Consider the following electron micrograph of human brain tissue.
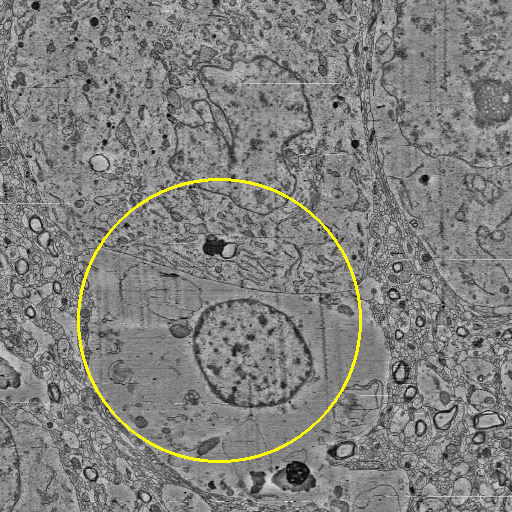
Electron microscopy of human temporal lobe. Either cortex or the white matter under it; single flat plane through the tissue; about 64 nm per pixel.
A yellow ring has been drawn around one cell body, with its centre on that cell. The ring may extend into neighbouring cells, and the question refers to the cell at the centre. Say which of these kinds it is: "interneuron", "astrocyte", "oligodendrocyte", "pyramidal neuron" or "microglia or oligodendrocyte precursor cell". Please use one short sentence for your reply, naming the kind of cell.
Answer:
The centre of the ring falls on an astrocyte.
